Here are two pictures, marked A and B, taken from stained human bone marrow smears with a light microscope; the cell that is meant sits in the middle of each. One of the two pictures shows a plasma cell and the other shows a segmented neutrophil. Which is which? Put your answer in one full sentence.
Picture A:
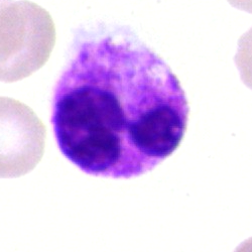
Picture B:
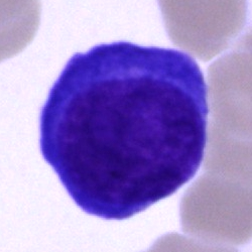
The cell in picture A is a segmented neutrophil, and the one in picture B is a plasma cell.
